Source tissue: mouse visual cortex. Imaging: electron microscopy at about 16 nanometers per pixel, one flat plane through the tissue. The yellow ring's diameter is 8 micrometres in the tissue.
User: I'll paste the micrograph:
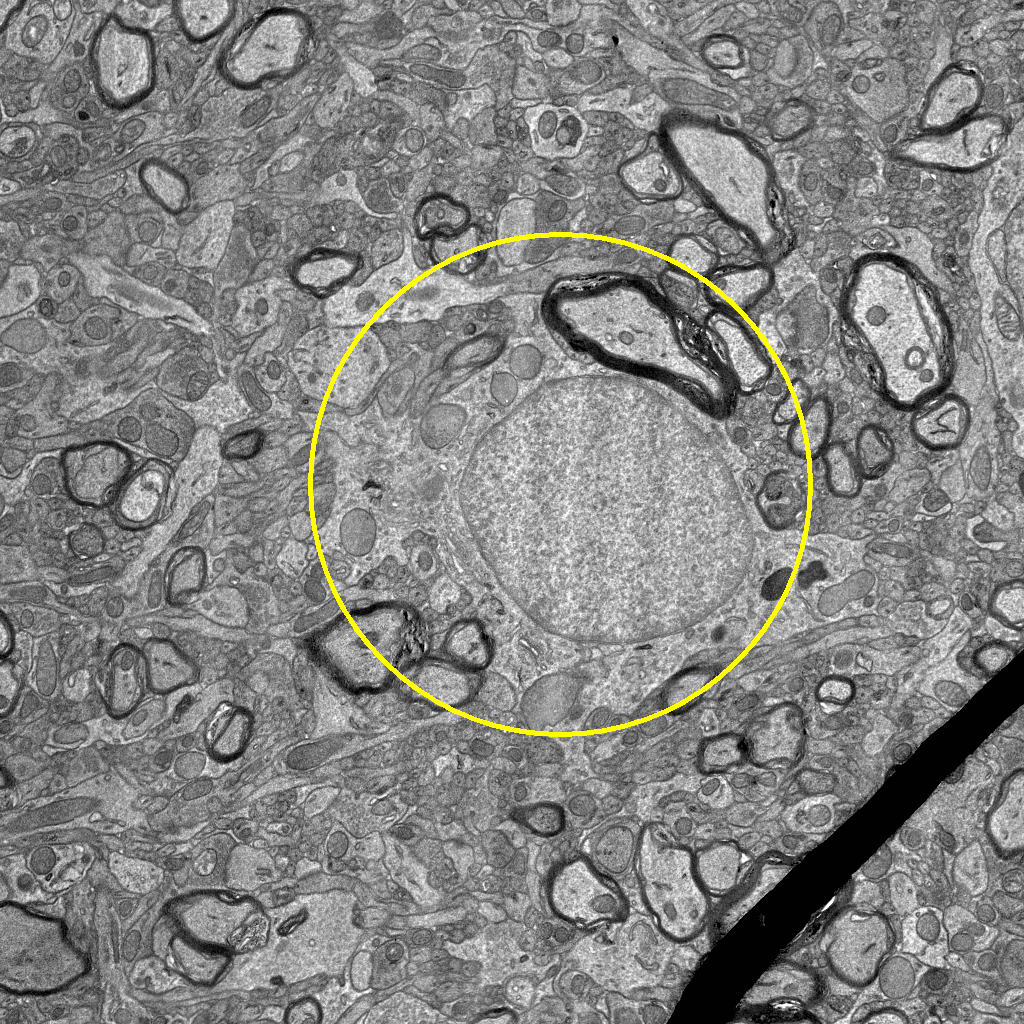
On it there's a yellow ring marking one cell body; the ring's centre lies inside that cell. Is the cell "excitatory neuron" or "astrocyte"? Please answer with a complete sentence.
The cell at the centre of the yellow ring is an astrocyte.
